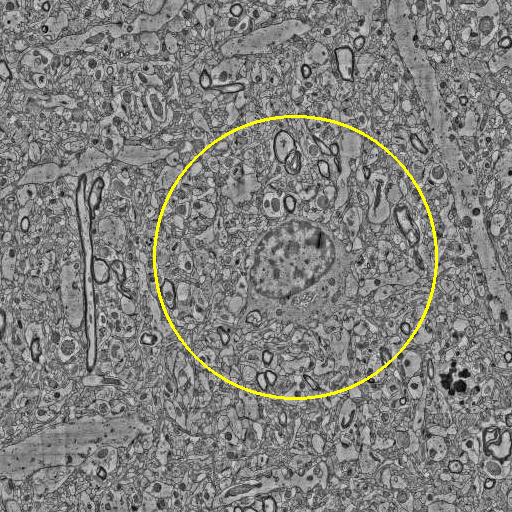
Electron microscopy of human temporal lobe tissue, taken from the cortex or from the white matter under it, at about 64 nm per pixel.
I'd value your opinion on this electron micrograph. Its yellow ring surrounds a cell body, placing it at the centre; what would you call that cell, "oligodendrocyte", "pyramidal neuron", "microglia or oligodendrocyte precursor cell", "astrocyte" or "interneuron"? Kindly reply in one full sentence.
It is an oligodendrocyte that sits centred within the yellow ring in this micrograph.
